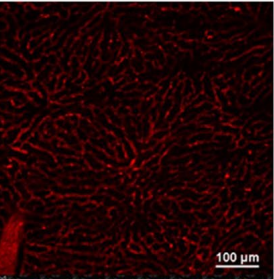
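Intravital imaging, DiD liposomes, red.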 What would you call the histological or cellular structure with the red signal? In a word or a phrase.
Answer: sinusoids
